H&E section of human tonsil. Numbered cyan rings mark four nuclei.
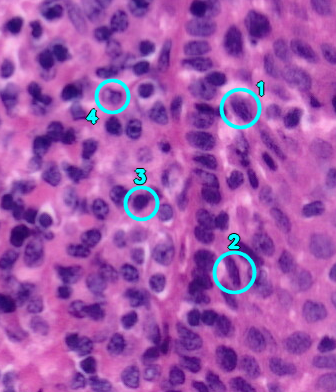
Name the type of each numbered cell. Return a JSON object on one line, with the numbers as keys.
{"1": "squamous epithelial cell", "2": "squamous epithelial cell", "3": "plasma cell", "4": "plasma cell"}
